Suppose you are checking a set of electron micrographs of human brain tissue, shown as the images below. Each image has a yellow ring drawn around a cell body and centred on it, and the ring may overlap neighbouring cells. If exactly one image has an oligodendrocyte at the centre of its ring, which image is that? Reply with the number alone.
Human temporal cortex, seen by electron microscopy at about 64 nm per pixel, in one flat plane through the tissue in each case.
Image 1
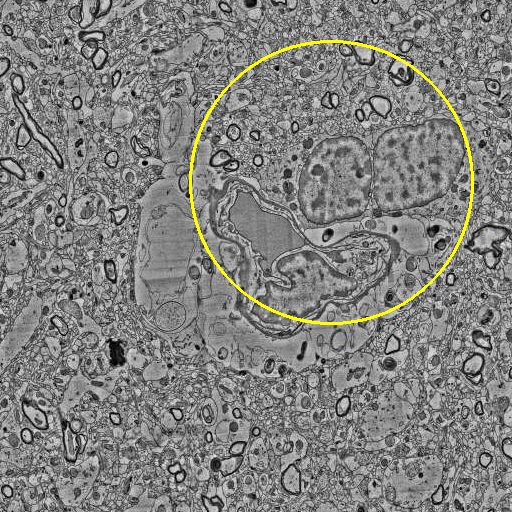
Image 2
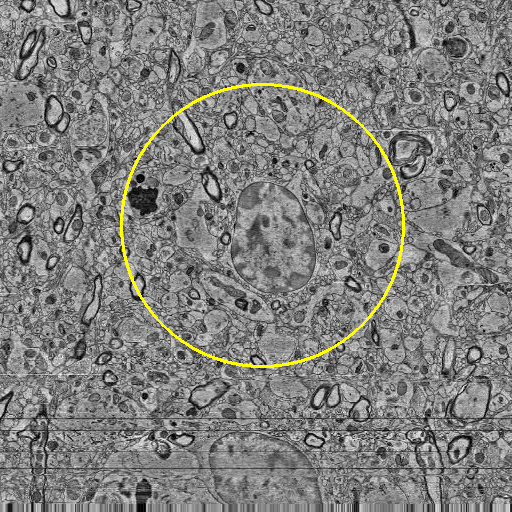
1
